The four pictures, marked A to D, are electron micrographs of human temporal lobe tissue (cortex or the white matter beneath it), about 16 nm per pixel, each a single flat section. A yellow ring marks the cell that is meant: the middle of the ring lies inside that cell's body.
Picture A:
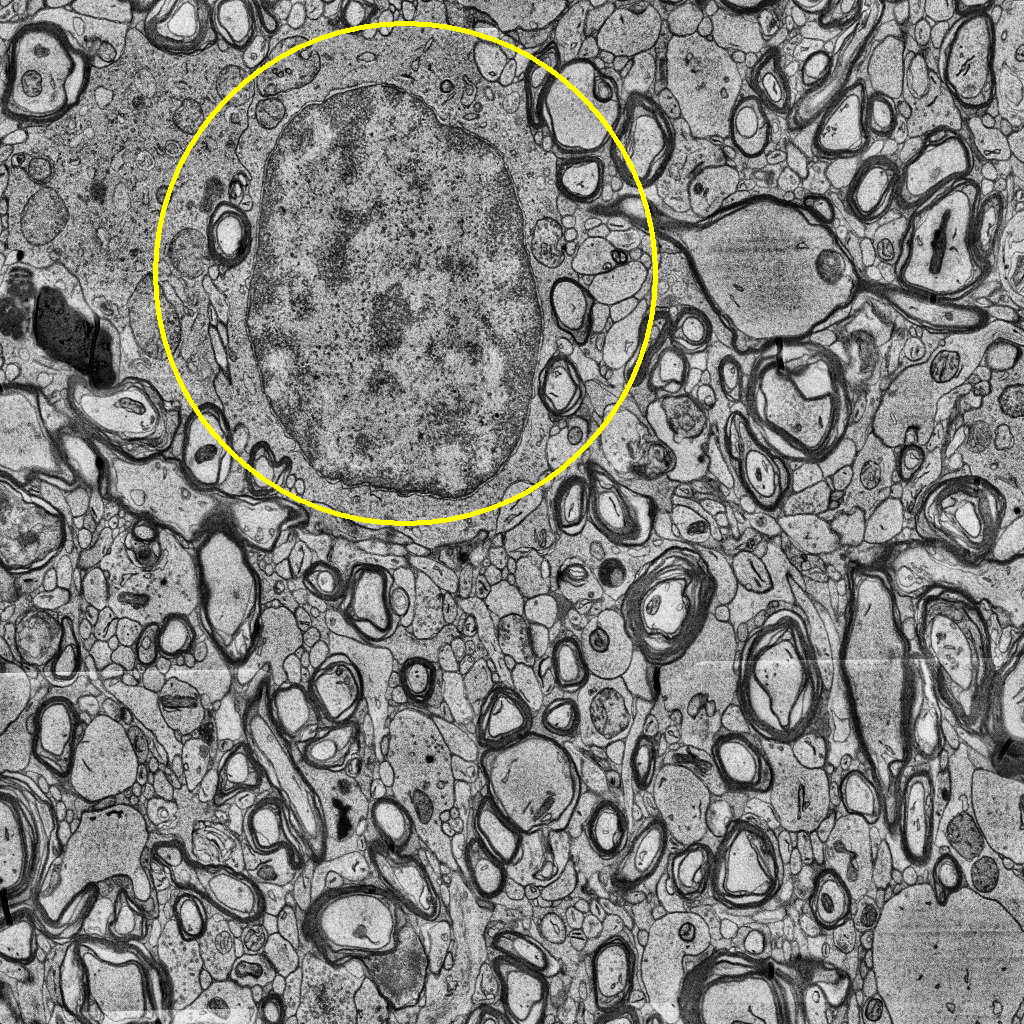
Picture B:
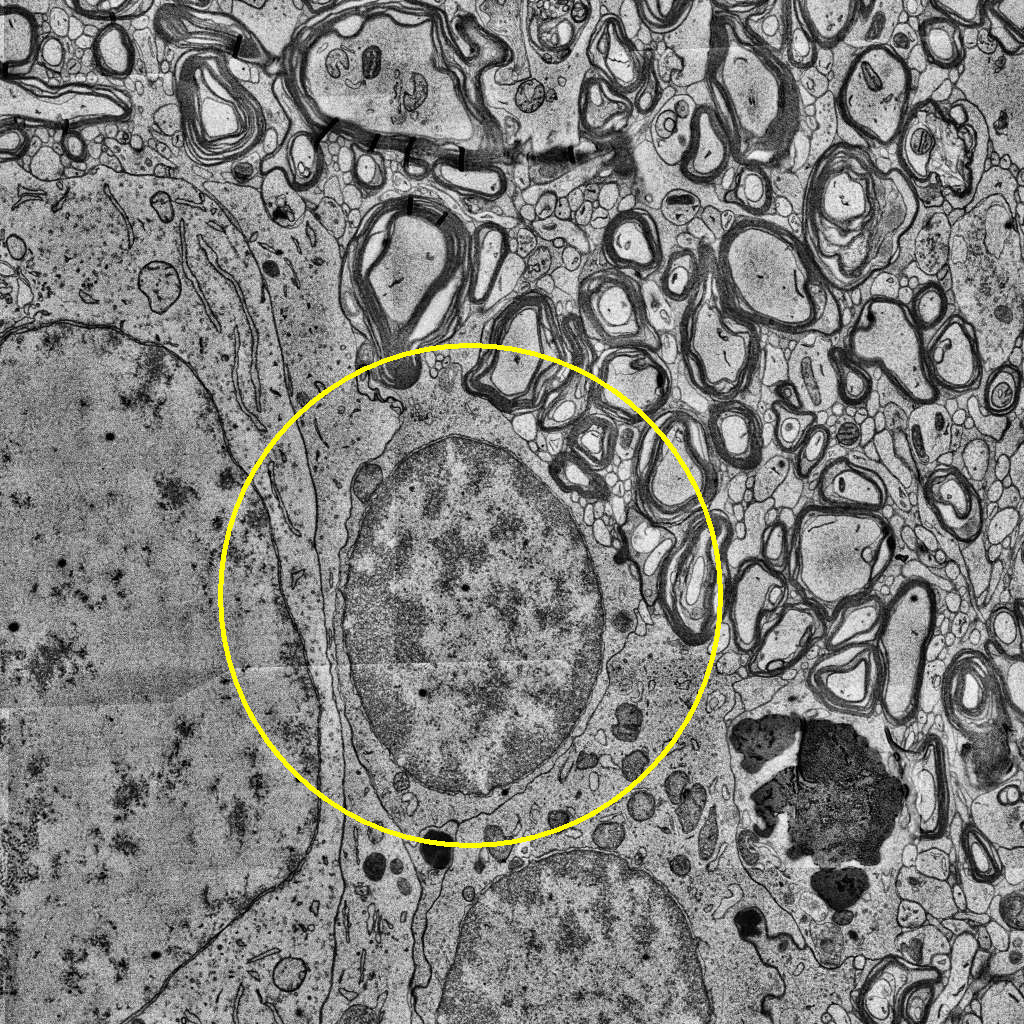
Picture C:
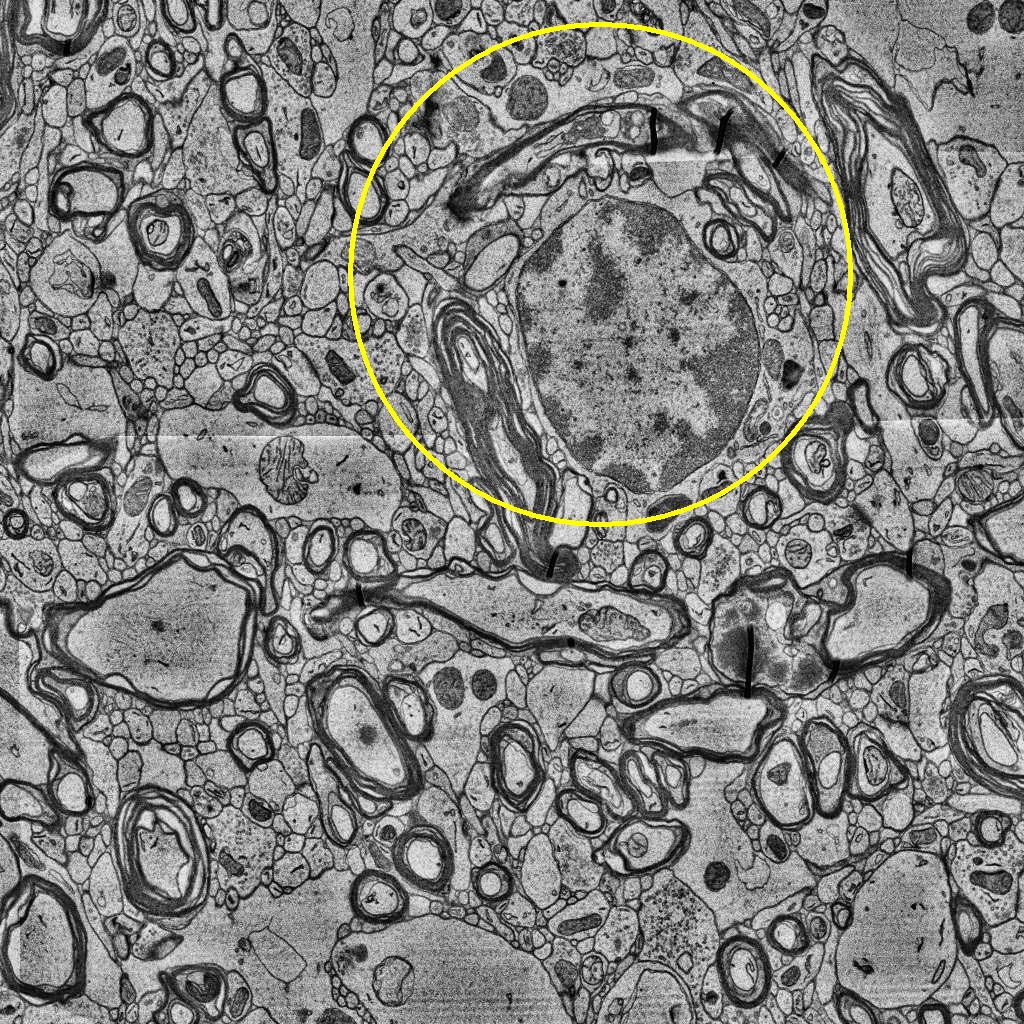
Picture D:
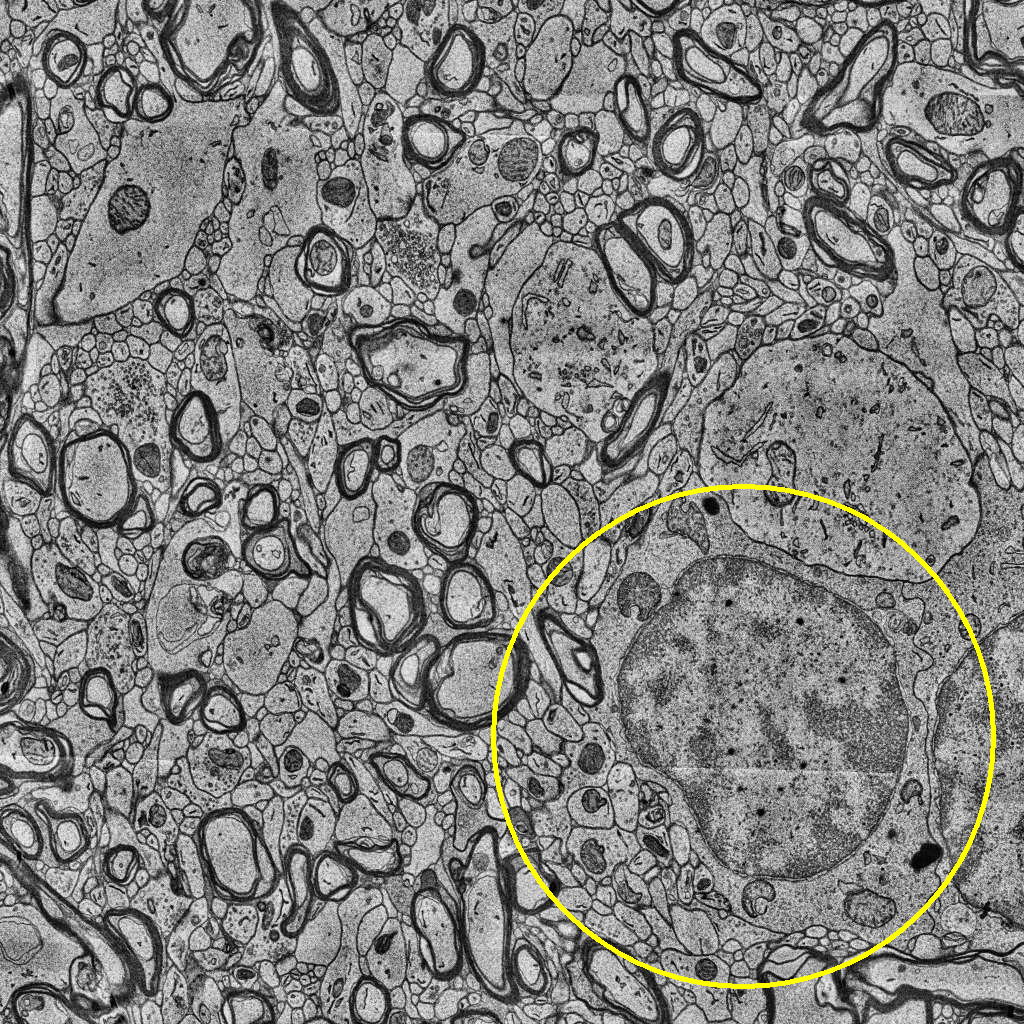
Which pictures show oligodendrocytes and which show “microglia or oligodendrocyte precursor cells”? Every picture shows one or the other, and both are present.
Pictures A, B and D show oligodendrocytes, and picture C shows a “microglia or oligodendrocyte precursor cell”.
